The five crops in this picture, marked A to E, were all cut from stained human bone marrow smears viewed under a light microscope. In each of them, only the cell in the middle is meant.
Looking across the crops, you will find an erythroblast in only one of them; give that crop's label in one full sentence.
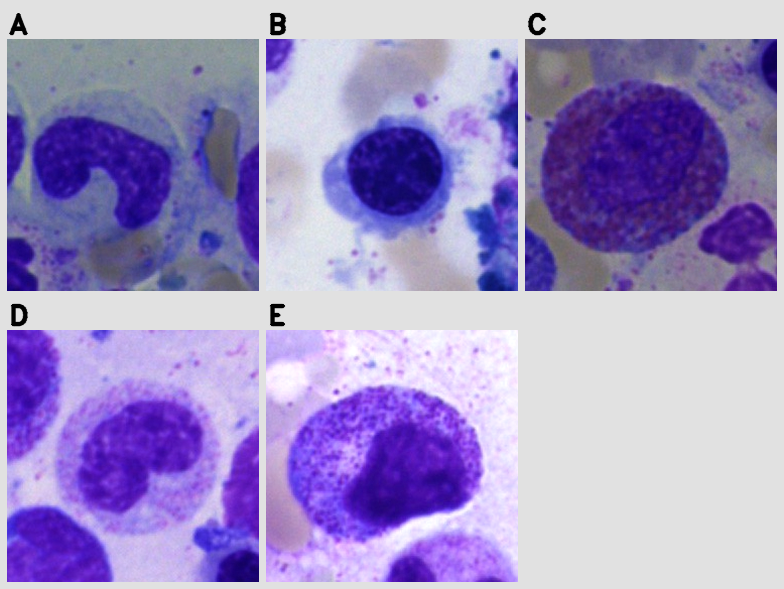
Among the crops given, only crop B shows an erythroblast.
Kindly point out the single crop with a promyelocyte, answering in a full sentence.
The crop in which a promyelocyte is shown is crop E.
